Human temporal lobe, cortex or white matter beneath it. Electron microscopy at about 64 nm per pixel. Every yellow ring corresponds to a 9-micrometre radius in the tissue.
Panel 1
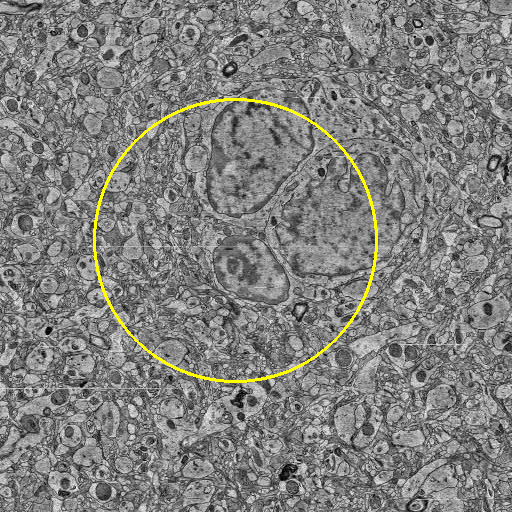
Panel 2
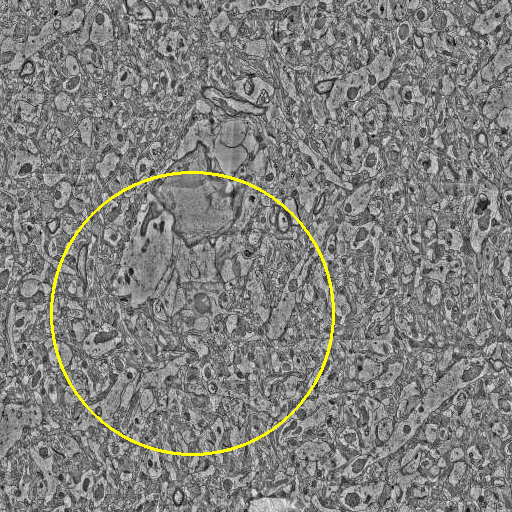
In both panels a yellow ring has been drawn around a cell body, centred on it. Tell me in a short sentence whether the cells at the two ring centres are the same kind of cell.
Yes, they are the same kind of cell.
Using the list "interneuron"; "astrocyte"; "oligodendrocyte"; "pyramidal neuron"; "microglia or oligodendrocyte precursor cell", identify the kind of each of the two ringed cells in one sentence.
In both pictures the ring is centred on a microglial cell or oligodendrocyte precursor cell.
